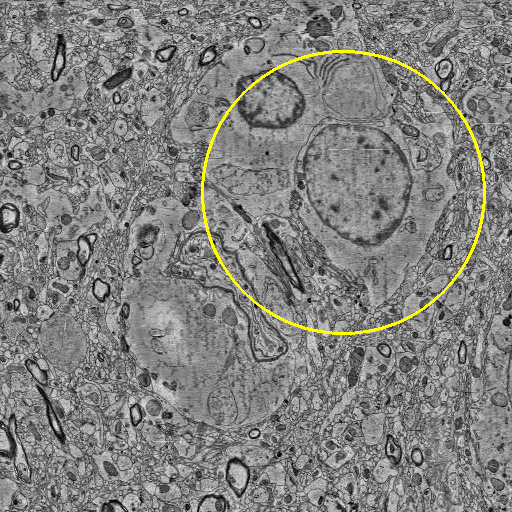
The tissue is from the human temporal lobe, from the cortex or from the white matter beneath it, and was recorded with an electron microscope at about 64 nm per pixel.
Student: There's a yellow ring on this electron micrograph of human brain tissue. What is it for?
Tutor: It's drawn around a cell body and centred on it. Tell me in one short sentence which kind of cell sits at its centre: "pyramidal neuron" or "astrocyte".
The cell at the centre of the ring is an astrocyte.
